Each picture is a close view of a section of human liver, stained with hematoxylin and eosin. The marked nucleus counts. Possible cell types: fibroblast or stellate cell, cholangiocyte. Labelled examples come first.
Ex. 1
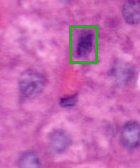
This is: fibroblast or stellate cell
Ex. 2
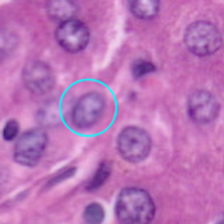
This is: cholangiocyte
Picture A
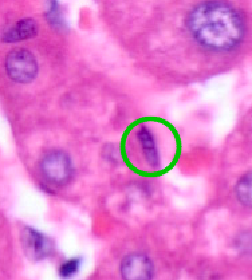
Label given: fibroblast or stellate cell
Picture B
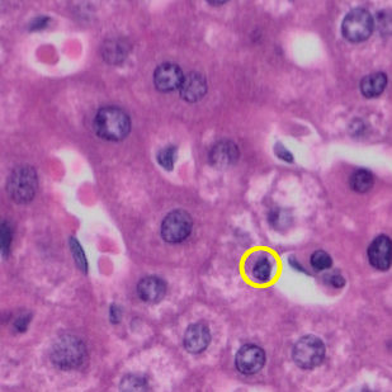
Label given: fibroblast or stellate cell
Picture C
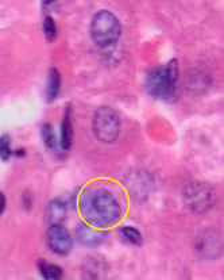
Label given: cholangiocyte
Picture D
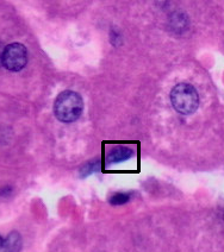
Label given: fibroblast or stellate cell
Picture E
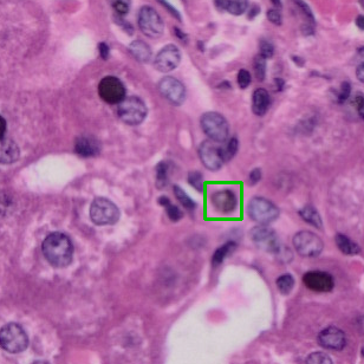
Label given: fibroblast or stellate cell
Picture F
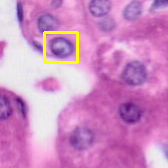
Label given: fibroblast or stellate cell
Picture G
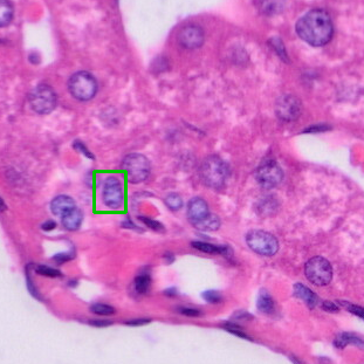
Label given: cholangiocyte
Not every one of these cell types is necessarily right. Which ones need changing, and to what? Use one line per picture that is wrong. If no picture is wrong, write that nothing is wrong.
E: change fibroblast or stellate cell to cholangiocyte
F: change fibroblast or stellate cell to cholangiocyte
